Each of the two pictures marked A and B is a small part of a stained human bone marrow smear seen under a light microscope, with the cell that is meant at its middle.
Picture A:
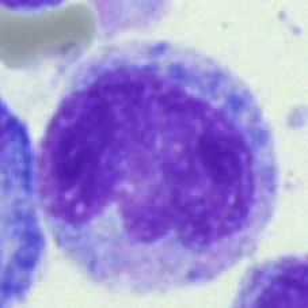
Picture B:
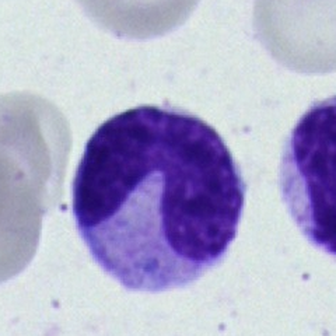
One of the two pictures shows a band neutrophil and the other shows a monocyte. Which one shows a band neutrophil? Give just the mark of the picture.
B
